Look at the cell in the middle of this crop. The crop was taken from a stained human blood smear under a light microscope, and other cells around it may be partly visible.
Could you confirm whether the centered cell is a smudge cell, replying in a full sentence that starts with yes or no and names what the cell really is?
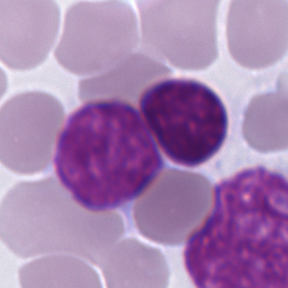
No, the cell in the middle is correctly named a myeloblast, not a smudge cell.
